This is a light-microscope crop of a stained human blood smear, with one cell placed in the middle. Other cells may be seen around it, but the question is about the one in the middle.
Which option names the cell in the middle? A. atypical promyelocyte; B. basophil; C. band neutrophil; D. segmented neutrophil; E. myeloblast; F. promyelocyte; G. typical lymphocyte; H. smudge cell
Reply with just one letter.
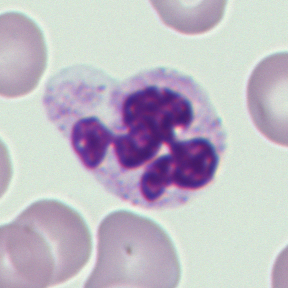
D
